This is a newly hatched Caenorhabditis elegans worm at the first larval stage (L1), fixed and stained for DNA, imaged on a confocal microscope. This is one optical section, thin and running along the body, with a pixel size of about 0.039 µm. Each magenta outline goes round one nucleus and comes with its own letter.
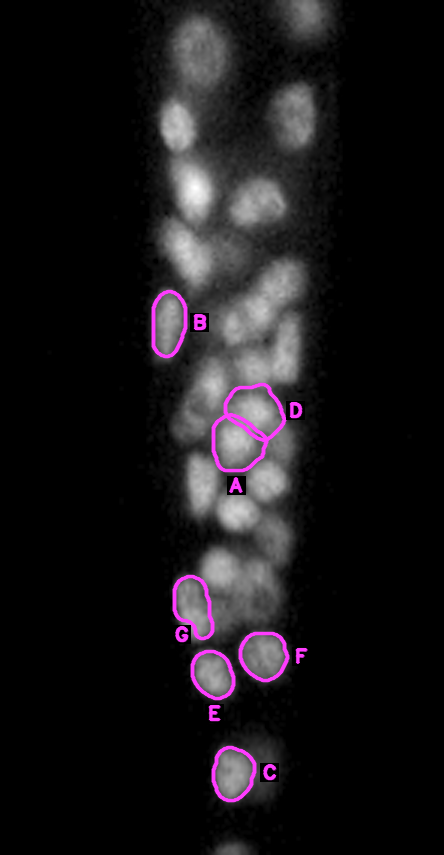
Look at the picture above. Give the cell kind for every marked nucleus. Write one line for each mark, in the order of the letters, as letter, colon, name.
A: neuron
B: rectal epithelial cell
C: hypodermal cell (hyp)
D: neuron
E: hypodermal cell (hyp)
F: neuron
G: hypodermal cell (hyp)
